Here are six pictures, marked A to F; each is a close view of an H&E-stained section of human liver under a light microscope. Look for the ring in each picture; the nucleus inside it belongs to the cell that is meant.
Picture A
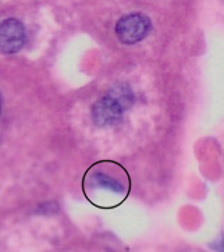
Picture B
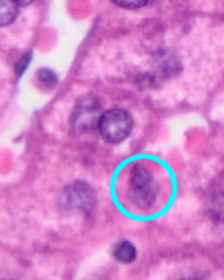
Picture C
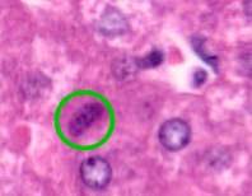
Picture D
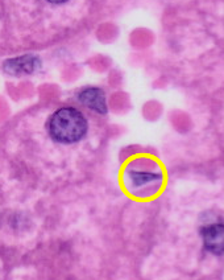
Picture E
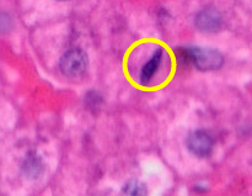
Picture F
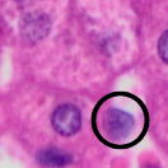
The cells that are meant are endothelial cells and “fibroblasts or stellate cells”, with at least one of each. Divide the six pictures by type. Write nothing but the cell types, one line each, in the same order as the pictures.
endothelial cell
endothelial cell
fibroblast or stellate cell
endothelial cell
fibroblast or stellate cell
endothelial cell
